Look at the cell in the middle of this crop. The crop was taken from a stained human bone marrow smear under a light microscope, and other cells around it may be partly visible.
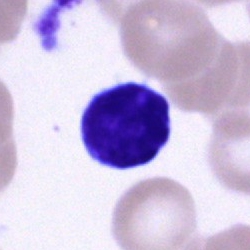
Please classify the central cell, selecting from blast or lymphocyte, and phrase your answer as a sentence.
The cell in the middle of the field of view is a lymphocyte.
